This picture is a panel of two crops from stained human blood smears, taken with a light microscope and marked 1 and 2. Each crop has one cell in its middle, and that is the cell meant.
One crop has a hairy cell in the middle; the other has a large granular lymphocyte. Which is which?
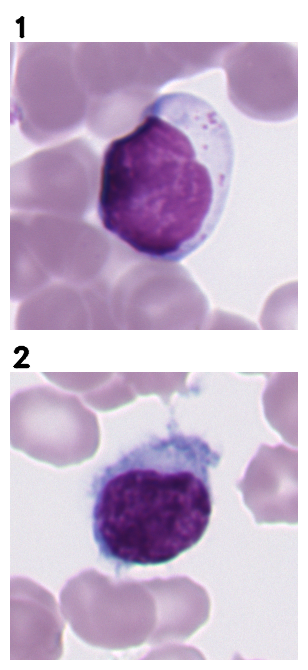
1: large granular lymphocyte
2: hairy cell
